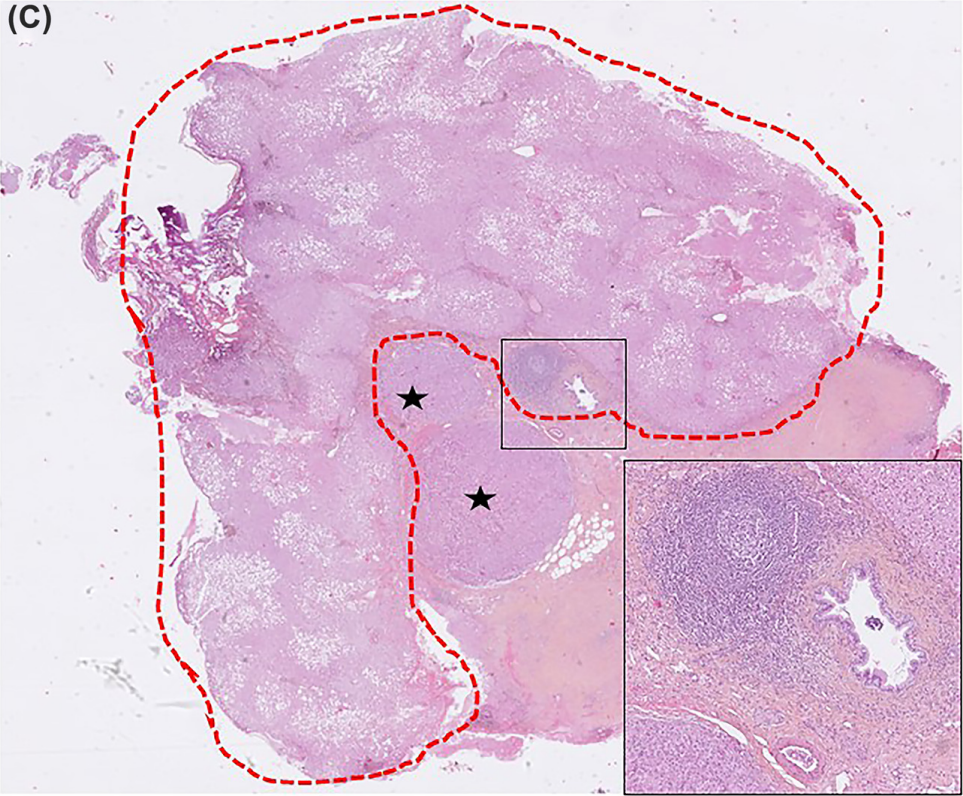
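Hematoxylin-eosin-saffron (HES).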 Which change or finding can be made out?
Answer: Steatosis.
